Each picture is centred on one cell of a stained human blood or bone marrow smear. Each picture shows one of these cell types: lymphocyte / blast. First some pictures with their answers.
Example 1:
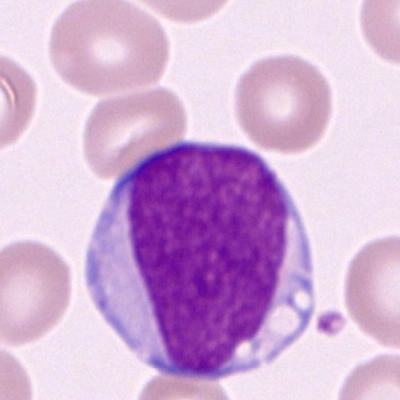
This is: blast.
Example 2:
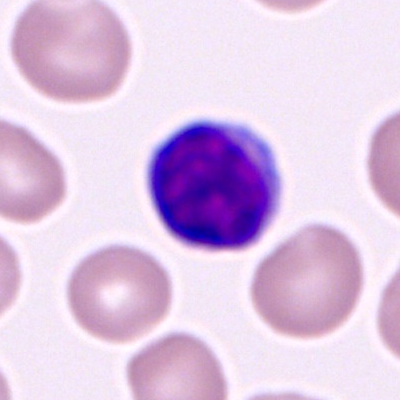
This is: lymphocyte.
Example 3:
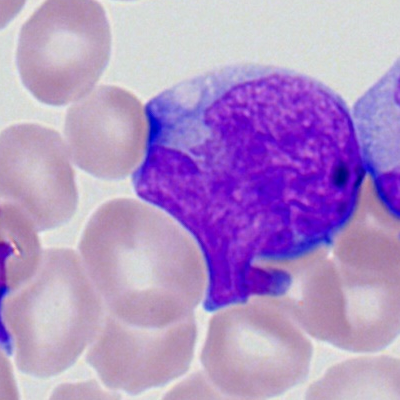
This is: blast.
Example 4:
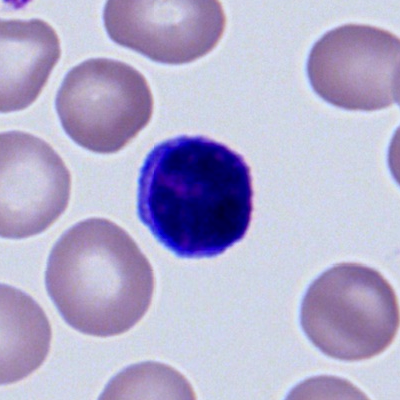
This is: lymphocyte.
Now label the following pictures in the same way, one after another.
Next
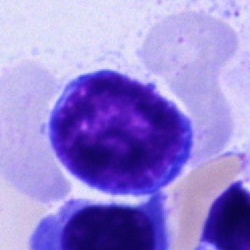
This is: lymphocyte.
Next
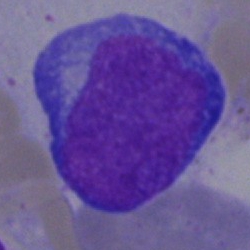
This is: blast.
